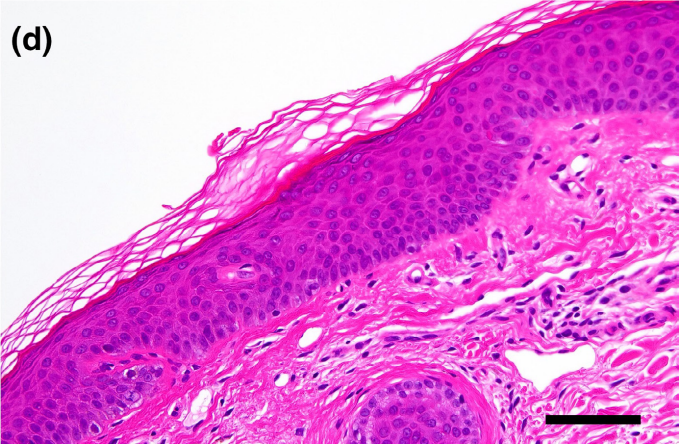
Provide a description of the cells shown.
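This section of skin shows a stratified squamous epidermis with orderly layers of keratinocytes with purple nuclei. The surface is covered by a loose, open basket-weave cornified layer. Below the epidermis lies pink fibrous dermis with small vessels and scattered cells, and a rounded epithelial structure at the lower edge.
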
